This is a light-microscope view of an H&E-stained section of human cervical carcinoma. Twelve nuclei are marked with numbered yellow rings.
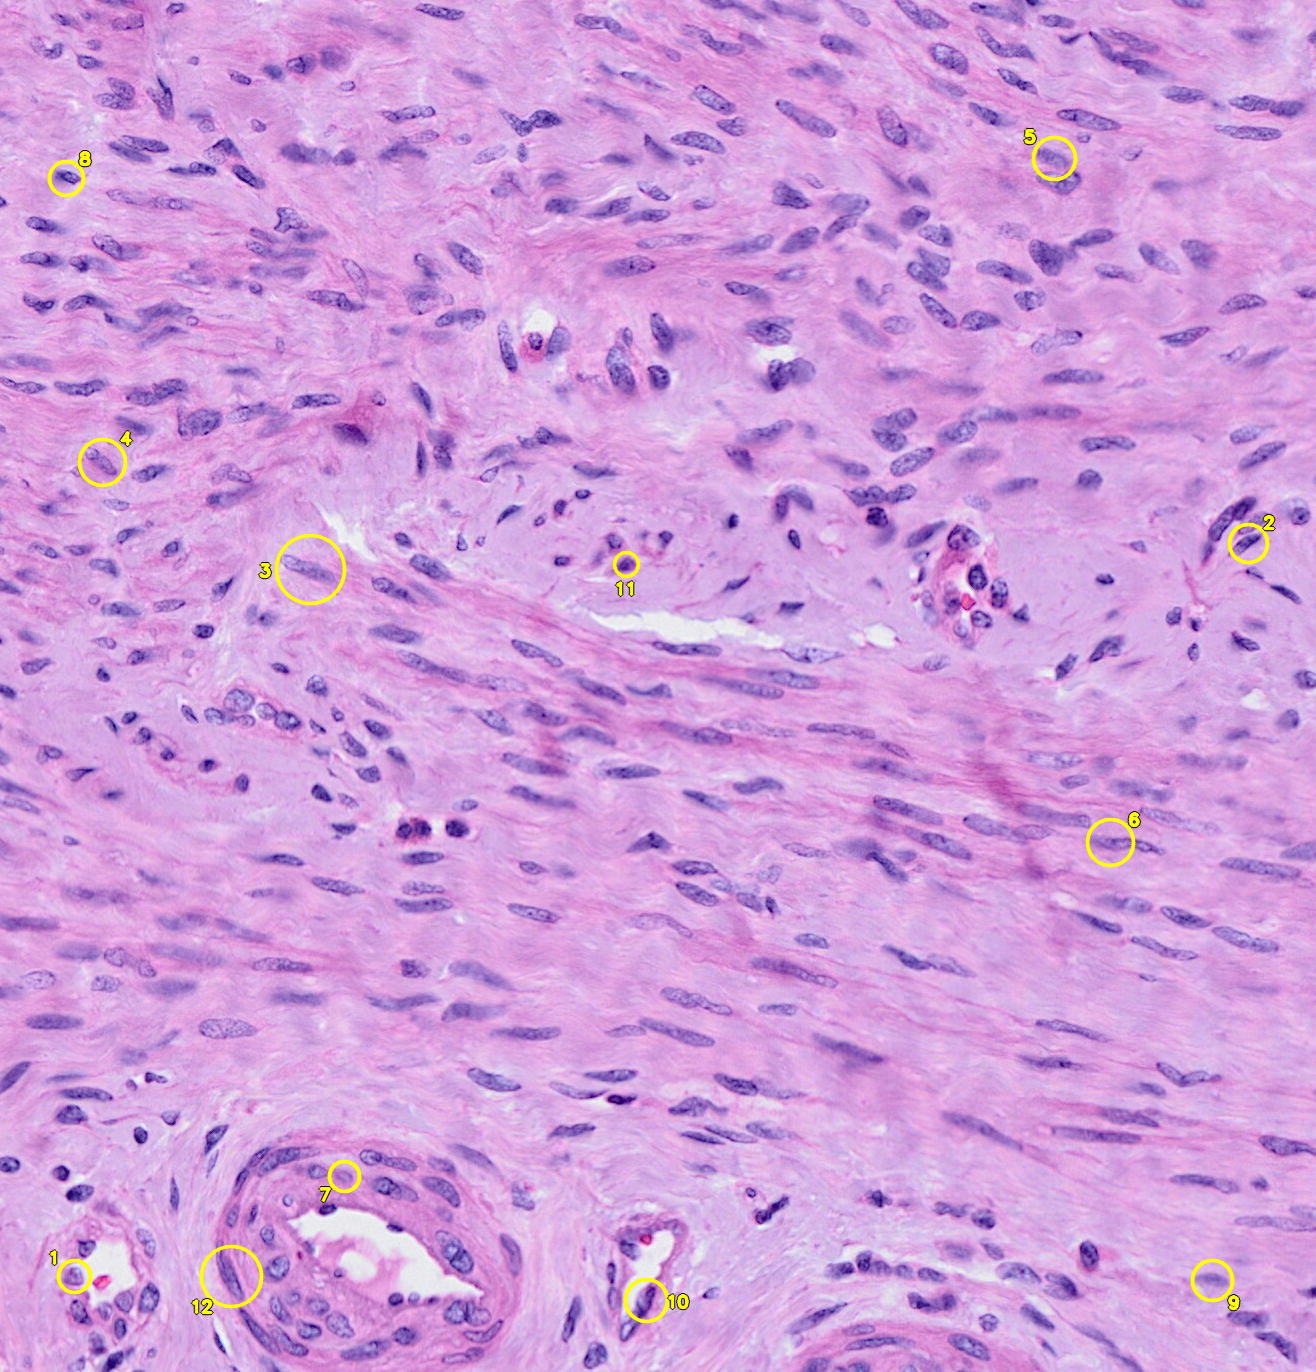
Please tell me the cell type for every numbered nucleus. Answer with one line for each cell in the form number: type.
1: endothelial cell
2: fibroblast
3: smooth muscle cell
4: smooth muscle cell
5: smooth muscle cell
6: smooth muscle cell
7: smooth muscle cell
8: fibroblast
9: fibroblast
10: endothelial cell
11: smooth muscle cell
12: smooth muscle cell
